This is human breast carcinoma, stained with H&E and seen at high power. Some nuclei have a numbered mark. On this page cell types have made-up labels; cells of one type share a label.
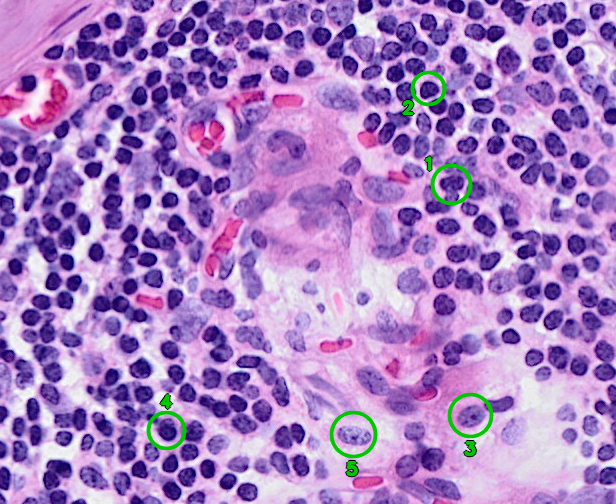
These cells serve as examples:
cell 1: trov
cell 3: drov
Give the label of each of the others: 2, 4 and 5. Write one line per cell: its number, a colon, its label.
2: trov
4: trov
5: drov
